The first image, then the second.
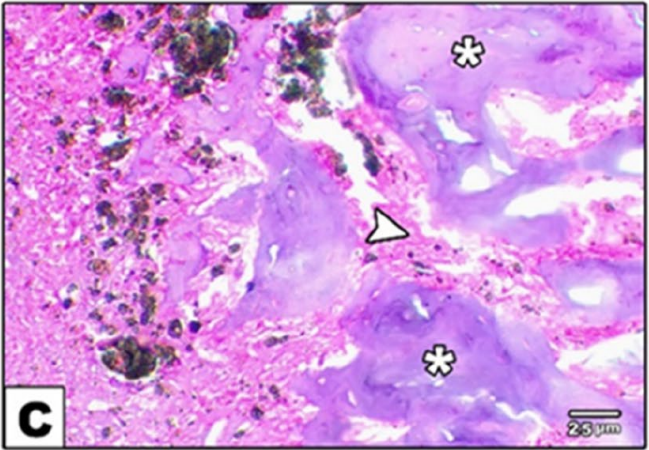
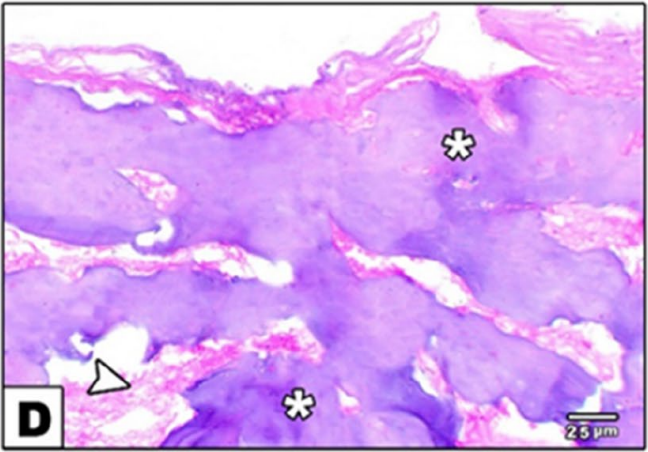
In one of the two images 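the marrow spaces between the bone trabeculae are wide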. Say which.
The first image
